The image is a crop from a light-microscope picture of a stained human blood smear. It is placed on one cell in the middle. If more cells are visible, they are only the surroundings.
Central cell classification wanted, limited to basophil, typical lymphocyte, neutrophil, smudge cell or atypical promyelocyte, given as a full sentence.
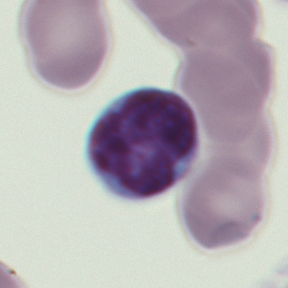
The cell marked by its central position in the crop is a typical lymphocyte.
